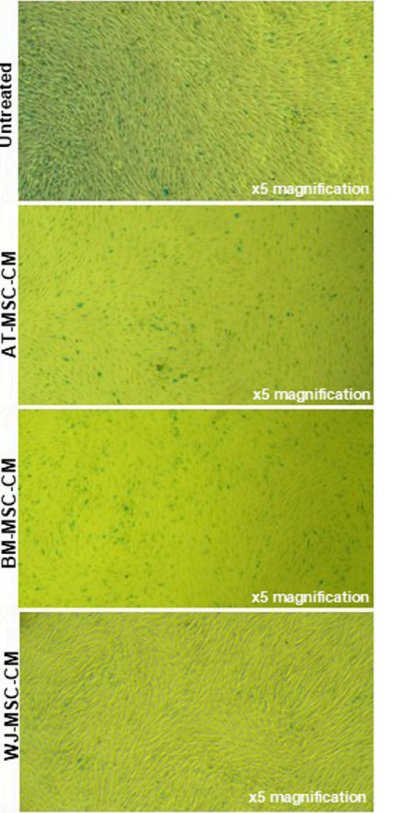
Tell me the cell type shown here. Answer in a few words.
Fibroblasts.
